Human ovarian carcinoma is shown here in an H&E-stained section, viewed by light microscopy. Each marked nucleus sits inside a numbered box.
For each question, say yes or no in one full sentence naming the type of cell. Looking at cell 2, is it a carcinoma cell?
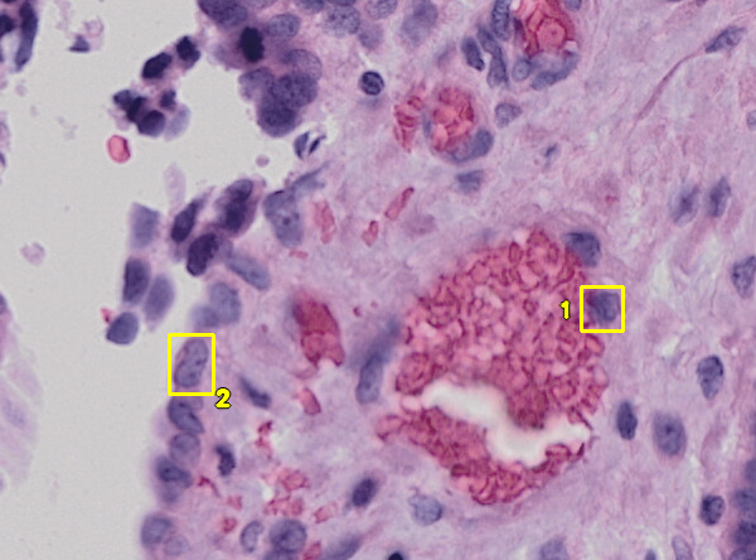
Yes, the cell distinguished by number 2 is a carcinoma cell.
